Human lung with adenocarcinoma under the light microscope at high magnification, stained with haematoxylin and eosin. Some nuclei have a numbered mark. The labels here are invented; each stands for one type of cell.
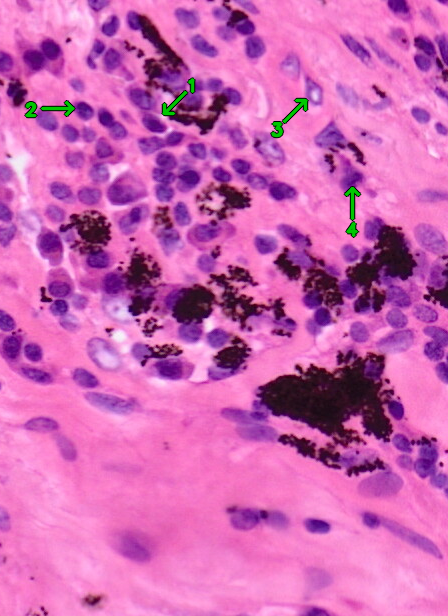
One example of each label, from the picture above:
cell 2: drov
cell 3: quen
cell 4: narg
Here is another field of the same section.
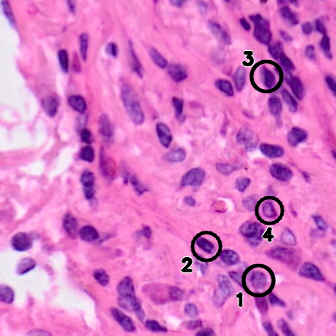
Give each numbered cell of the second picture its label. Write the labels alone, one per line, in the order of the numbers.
drov
drov
drov
narg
